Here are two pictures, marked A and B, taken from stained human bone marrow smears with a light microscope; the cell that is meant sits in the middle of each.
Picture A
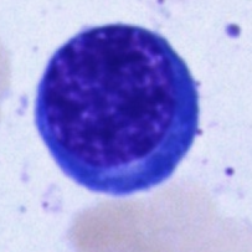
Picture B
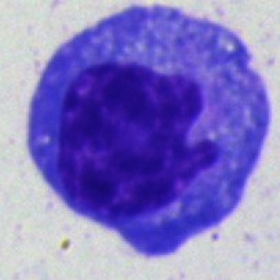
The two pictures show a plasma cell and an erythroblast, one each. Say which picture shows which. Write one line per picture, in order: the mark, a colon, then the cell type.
A: erythroblast
B: plasma cell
